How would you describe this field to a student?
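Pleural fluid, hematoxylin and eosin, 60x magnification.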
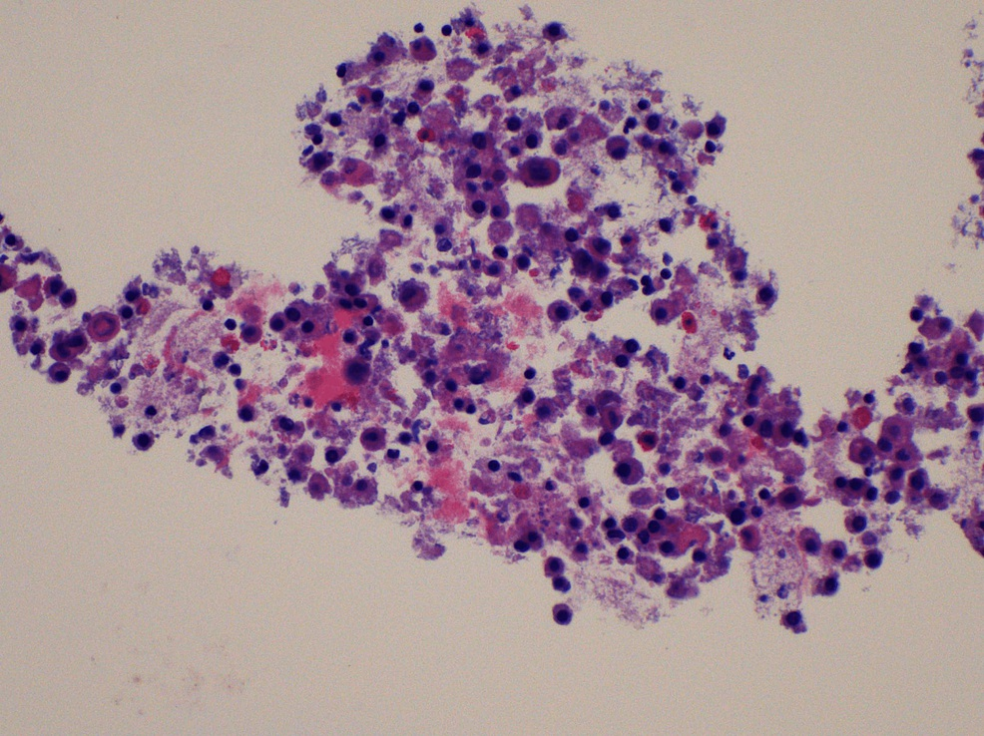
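The larger cells are round to oval, with a single round, fairly central nucleus and a rim of dense purple to pinkish cytoplasm; a few are notably bigger than the rest. Between them lie many small round cells with compact, very dark nuclei and barely any visible cytoplasm. Pink amorphous material and pale granular debris fill the spaces between the cells, and a few bright pink bodies are scattered about.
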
